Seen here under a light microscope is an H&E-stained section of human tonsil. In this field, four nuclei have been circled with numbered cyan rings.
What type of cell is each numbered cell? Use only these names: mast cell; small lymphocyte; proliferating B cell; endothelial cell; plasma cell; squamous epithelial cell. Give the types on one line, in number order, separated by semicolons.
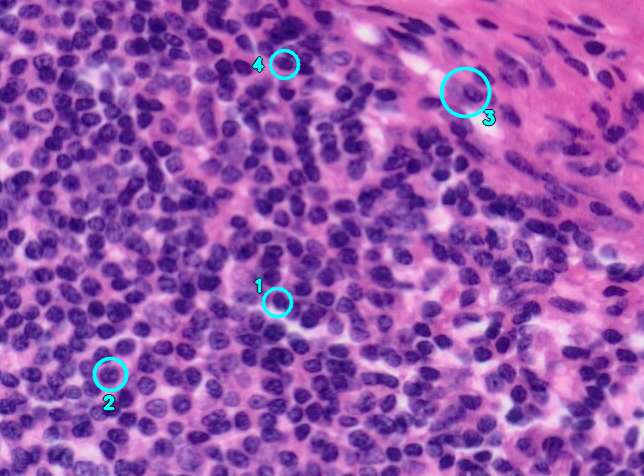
small lymphocyte; small lymphocyte; endothelial cell; small lymphocyte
